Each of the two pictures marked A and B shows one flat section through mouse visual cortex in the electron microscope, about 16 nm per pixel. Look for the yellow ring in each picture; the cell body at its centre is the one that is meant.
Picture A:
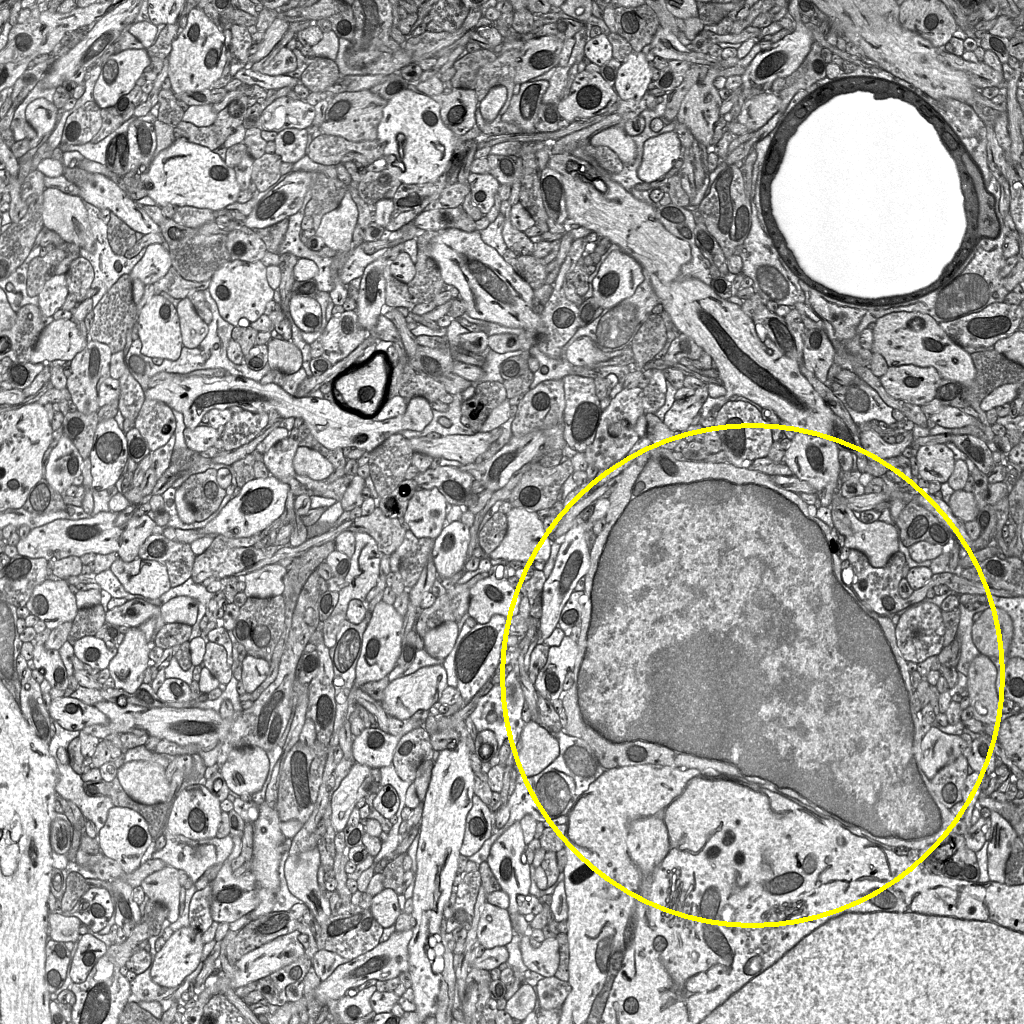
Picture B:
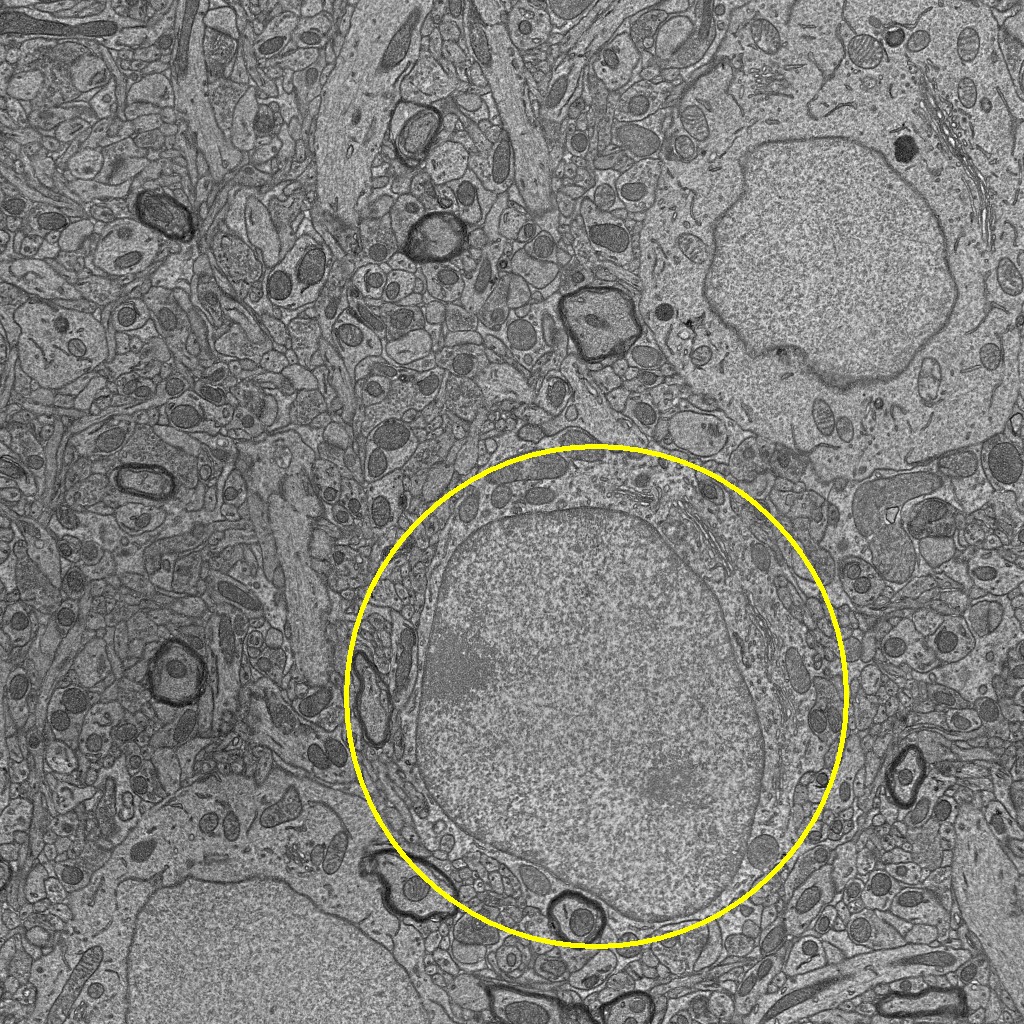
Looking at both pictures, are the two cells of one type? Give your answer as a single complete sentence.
No, the types are not the same, since picture A shows a microglial cell and picture B an astrocyte.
